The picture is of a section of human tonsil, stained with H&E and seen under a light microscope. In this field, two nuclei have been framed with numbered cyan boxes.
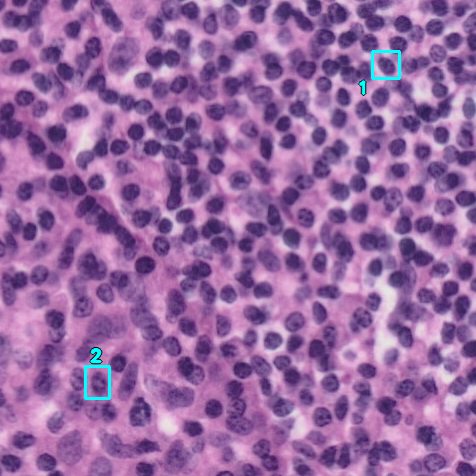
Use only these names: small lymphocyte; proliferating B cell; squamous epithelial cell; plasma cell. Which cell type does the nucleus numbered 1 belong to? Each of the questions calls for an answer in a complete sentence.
The cell with the number 1 is a small lymphocyte.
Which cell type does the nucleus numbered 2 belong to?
The nucleus with number 2 is that of a plasma cell.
